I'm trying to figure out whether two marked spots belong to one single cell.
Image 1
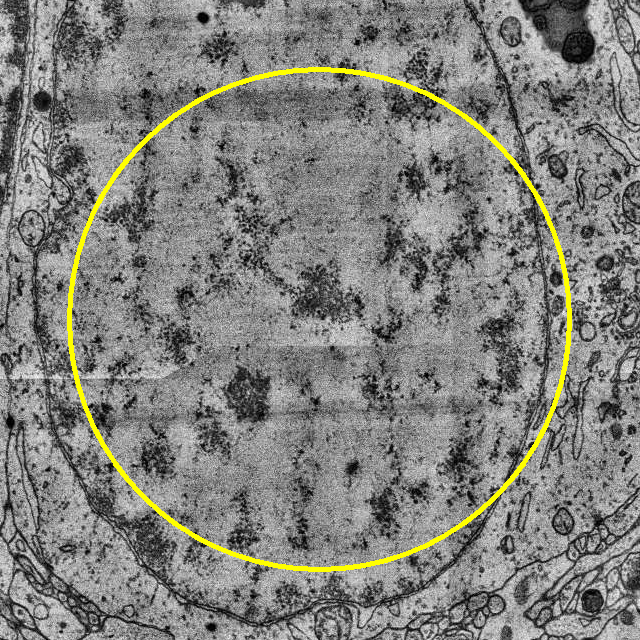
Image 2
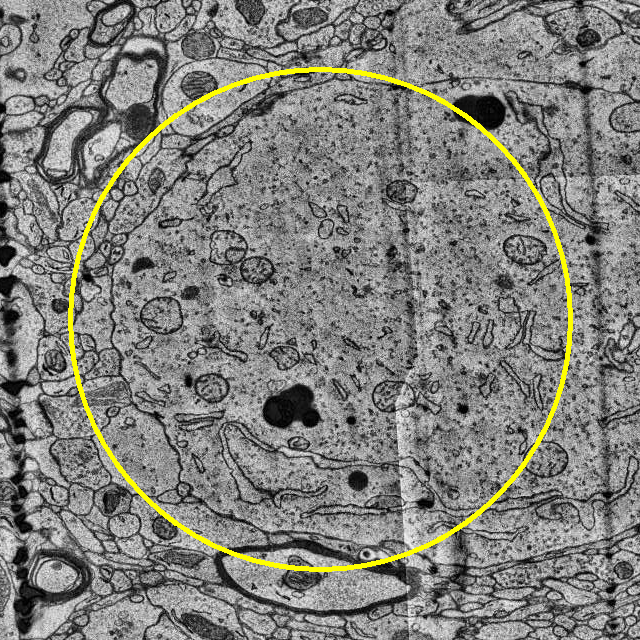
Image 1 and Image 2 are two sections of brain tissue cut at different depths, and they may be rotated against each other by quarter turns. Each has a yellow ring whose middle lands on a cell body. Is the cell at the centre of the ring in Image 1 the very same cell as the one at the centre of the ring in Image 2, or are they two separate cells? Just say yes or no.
yes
